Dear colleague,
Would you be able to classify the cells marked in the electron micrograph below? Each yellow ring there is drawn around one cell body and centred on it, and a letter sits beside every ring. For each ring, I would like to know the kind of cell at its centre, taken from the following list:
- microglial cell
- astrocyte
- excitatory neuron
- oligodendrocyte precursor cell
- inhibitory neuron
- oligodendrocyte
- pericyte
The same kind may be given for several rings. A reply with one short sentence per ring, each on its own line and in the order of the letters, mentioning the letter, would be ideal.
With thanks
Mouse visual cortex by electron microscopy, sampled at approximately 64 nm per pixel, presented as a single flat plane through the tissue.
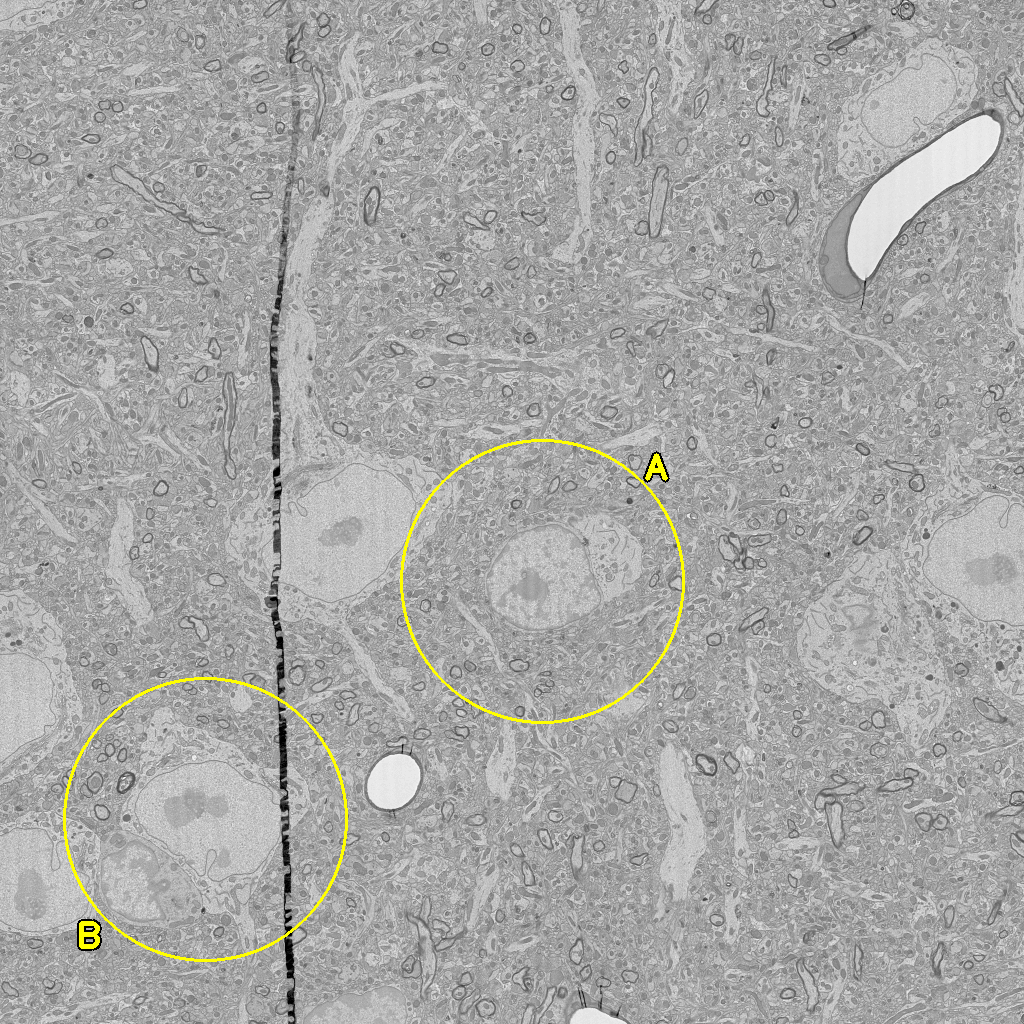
Ring A contains an oligodendrocyte at its centre.
Ring B contains an excitatory neuron at its centre.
